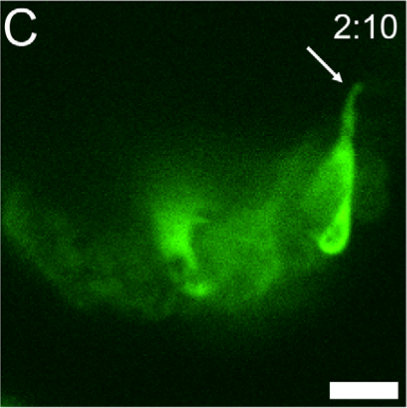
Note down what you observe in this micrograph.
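Green fluorescent cells are seen in side profile along a curved cell layer, set against a dark background. One brightly labelled cell at the right has a rounded body at its lower end and a long, narrowing extension running up and to the right, ending in a fine tip. Beside it, to the left, fainter labelled cells with less distinct outlines lie along the same layer.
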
